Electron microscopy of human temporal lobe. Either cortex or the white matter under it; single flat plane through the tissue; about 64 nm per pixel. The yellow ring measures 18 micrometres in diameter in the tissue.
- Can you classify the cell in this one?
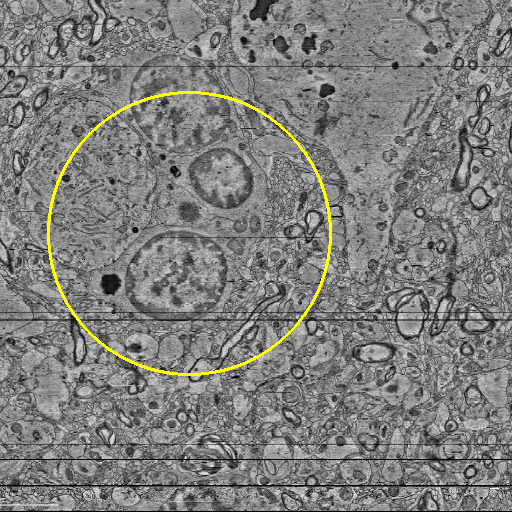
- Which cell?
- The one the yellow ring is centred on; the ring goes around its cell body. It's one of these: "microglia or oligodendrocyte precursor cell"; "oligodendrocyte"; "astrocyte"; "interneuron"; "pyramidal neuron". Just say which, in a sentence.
The cell body in the ring belongs to an oligodendrocyte.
